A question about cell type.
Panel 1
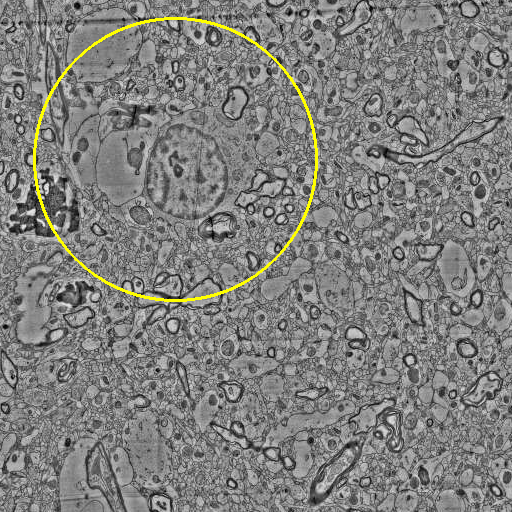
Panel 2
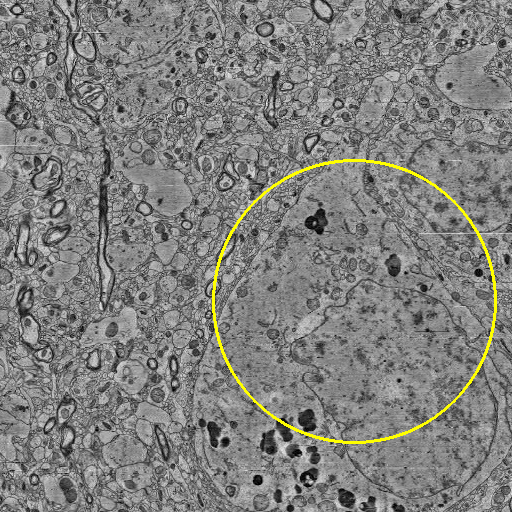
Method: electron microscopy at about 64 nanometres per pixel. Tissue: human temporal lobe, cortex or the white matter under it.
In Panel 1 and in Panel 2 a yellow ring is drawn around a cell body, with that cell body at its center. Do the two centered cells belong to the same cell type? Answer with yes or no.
no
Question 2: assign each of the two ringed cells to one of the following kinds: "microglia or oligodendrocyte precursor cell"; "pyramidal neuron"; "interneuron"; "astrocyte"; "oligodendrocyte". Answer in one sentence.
The two cells are an oligodendrocyte in the first picture and a pyramidal neuron in the second.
